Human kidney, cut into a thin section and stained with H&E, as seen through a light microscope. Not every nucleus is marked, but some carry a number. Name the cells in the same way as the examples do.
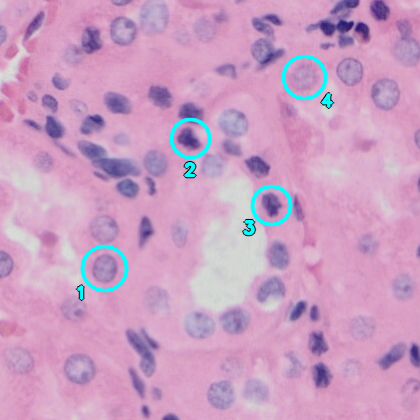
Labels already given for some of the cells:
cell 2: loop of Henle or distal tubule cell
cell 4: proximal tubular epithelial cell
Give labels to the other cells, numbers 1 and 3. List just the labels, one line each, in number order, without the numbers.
proximal tubular epithelial cell
loop of Henle or distal tubule cell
